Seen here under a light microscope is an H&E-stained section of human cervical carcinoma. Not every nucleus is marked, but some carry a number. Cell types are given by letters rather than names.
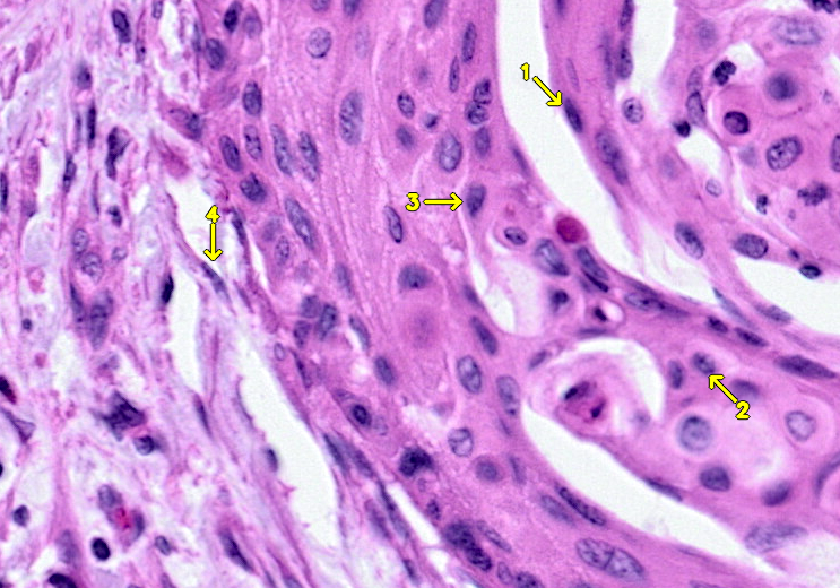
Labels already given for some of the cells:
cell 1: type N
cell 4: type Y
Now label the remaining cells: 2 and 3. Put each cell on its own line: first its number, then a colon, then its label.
2: type N
3: type N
